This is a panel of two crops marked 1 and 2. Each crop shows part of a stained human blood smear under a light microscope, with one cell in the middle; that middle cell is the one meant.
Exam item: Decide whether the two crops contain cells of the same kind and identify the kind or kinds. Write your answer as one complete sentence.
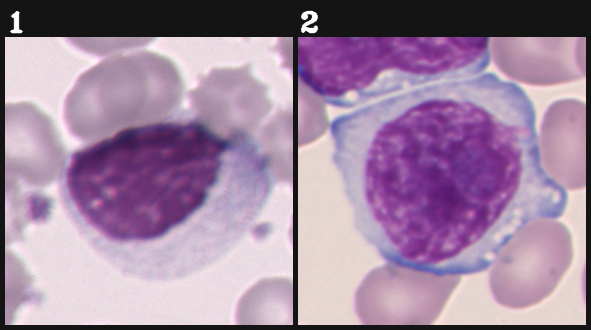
No, crop 1 represents a typical lymphocyte, and crop 2 represents a myeloblast.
